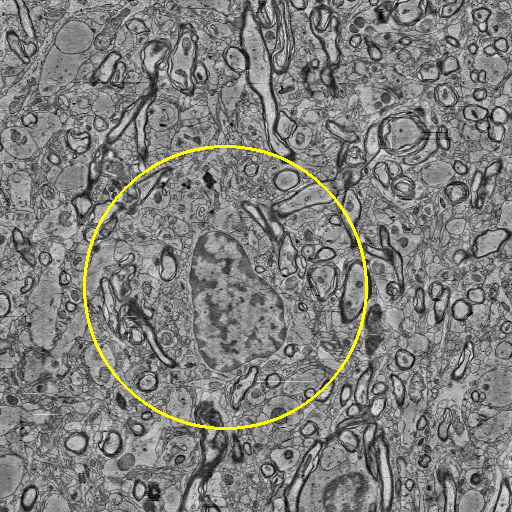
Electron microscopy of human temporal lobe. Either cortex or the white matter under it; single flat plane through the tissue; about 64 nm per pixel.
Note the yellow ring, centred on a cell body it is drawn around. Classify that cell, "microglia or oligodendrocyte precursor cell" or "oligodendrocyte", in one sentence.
The cell the ring is centred on is a microglial cell or oligodendrocyte precursor cell.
